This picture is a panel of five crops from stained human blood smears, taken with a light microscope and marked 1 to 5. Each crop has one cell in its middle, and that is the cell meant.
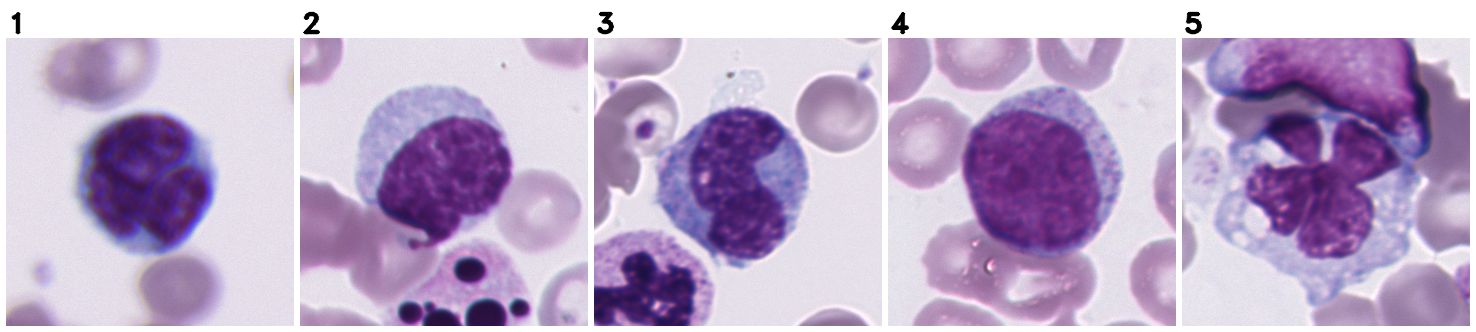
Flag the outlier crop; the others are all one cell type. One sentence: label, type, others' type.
Crop 4 is the different one, a promyelocyte, while the rest are monocytes.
